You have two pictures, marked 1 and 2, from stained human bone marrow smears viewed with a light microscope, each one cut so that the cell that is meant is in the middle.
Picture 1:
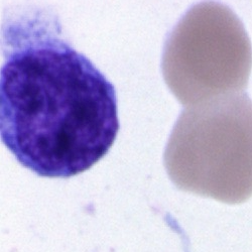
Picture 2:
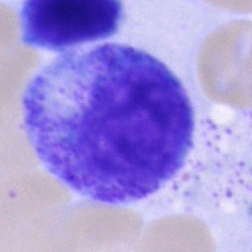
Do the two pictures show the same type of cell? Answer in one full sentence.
No, they differ: the cell is a blast in picture 1 and a promyelocyte in picture 2.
